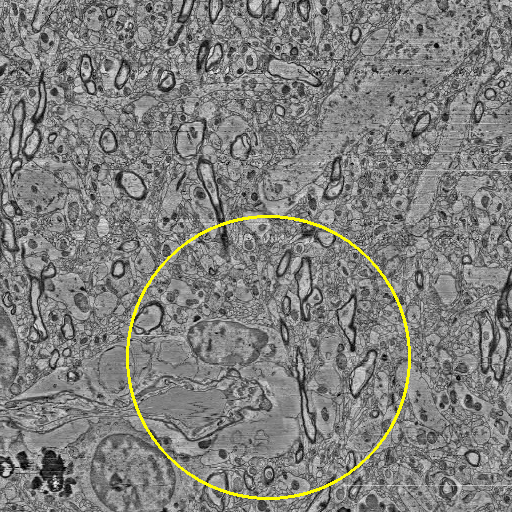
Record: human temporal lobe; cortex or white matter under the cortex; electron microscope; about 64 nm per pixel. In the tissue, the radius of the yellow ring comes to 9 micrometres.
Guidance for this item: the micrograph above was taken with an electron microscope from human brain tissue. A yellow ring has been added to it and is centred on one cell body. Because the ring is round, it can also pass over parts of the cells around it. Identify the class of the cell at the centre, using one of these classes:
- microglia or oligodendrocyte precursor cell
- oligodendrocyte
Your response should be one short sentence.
The ring surrounds the body of a microglial cell or oligodendrocyte precursor cell.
